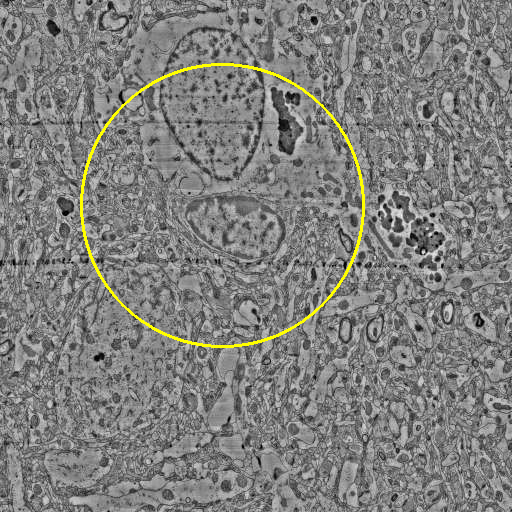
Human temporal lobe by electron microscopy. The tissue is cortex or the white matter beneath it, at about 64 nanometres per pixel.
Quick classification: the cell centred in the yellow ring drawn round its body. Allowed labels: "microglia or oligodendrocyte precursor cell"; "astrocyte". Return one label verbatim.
microglia or oligodendrocyte precursor cell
